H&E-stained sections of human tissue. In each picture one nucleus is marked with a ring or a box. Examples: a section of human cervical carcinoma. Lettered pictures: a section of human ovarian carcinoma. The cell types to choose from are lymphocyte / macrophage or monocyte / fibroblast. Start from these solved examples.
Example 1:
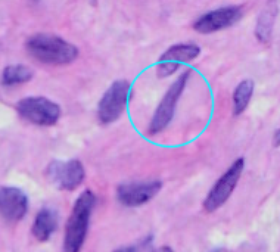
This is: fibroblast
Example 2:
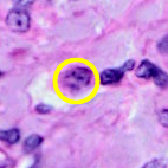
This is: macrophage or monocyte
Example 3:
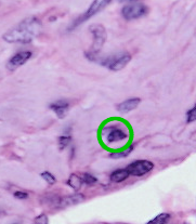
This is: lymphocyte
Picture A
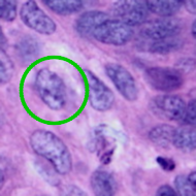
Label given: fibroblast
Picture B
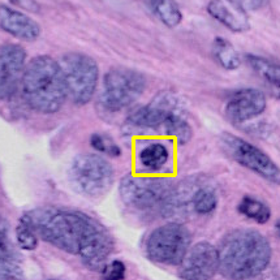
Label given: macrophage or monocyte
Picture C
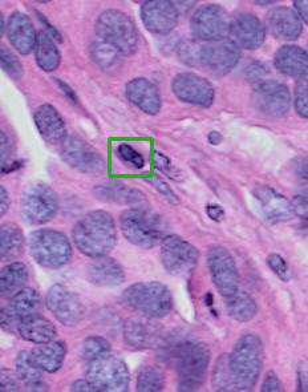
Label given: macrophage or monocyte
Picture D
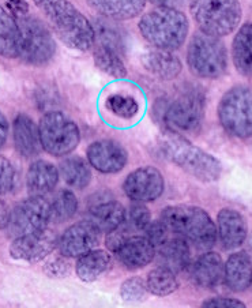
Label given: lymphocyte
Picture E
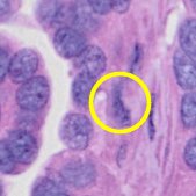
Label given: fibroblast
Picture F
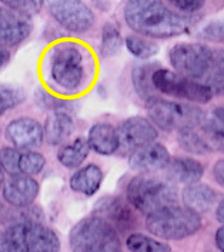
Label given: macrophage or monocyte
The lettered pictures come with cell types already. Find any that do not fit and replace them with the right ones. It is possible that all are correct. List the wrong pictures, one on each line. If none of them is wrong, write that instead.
Wrong: B (macrophage or monocyte); correct: lymphocyte
Wrong: C (macrophage or monocyte); correct: lymphocyte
